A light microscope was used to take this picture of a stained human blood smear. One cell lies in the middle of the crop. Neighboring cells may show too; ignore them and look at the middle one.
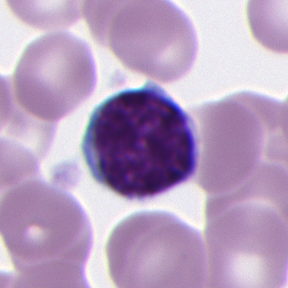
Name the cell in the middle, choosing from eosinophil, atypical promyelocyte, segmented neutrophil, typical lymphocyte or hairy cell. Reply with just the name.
typical lymphocyte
